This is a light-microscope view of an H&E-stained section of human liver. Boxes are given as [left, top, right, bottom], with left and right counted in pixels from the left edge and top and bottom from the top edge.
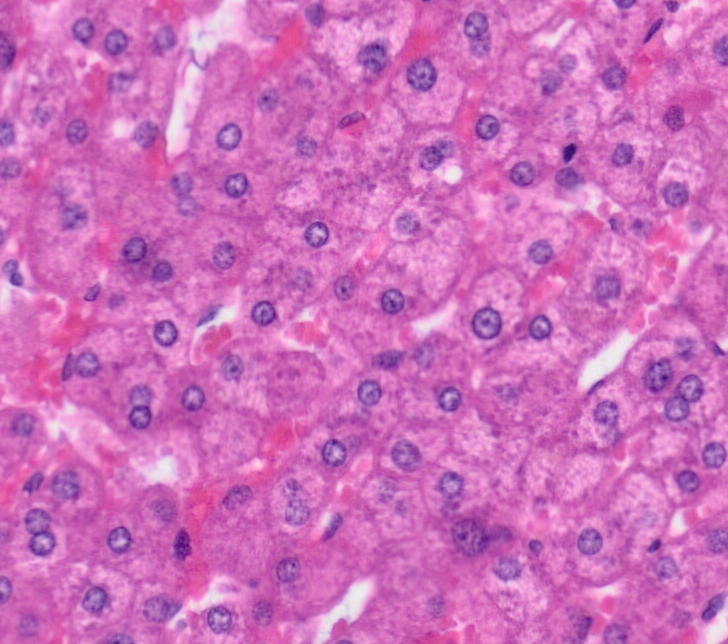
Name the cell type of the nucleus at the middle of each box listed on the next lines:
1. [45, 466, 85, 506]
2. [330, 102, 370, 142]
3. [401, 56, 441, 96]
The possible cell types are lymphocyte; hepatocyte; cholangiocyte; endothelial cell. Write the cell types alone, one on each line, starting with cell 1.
hepatocyte
endothelial cell
hepatocyte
